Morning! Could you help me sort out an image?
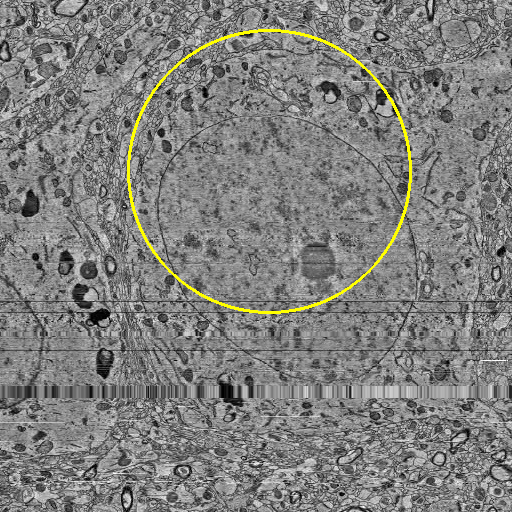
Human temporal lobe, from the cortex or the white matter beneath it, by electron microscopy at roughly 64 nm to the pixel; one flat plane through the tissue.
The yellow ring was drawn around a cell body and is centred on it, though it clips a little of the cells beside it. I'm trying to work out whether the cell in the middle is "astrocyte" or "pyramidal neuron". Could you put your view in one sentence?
The ringed cell body is that of a pyramidal neuron.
